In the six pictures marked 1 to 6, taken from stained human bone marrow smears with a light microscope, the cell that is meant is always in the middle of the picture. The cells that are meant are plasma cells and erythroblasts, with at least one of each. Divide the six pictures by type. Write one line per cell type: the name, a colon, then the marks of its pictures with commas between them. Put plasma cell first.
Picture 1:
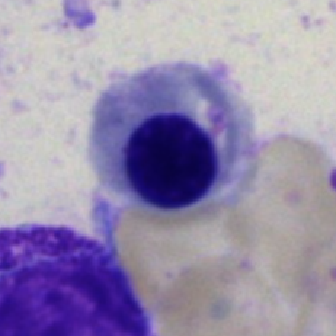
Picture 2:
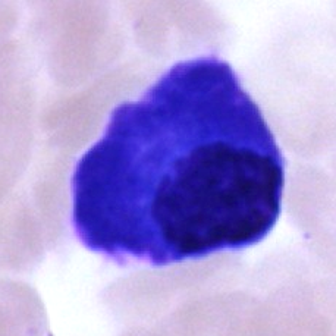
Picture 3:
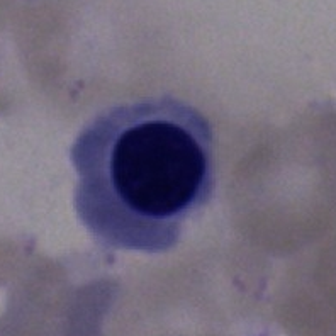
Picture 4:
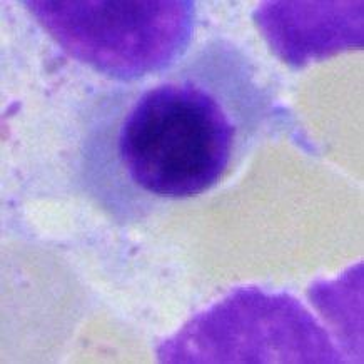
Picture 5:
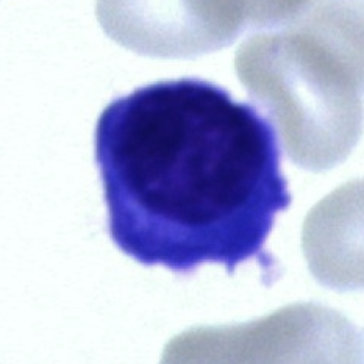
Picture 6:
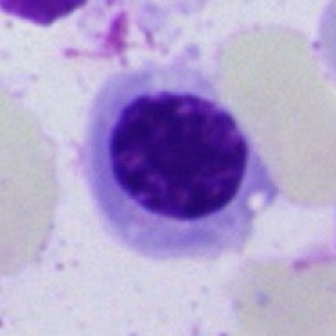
plasma cell: 2, 5
erythroblast: 1, 3, 4, 6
